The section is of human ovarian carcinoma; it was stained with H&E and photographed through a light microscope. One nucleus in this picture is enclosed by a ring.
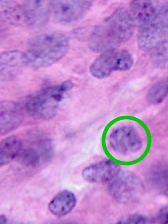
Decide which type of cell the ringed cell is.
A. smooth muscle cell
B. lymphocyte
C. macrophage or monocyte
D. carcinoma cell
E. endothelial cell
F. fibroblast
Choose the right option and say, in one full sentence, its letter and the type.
Option C gets it right, as the ringed cell is a macrophage or monocyte.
